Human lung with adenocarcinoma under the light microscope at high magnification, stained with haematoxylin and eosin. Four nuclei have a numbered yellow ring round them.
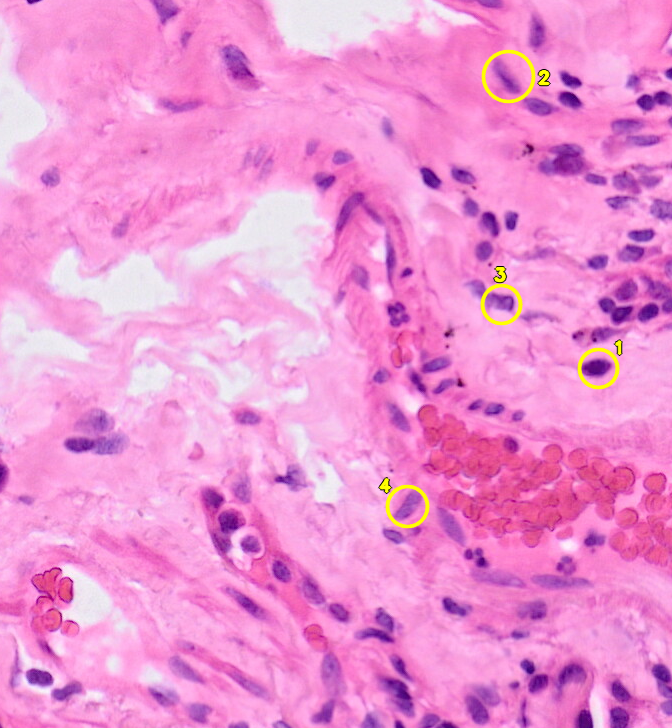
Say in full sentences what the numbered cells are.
Cell 1 is a plasma cell. Cells 2 and 3 are fibroblasts. Cell 4 is a smooth muscle cell or pericyte.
